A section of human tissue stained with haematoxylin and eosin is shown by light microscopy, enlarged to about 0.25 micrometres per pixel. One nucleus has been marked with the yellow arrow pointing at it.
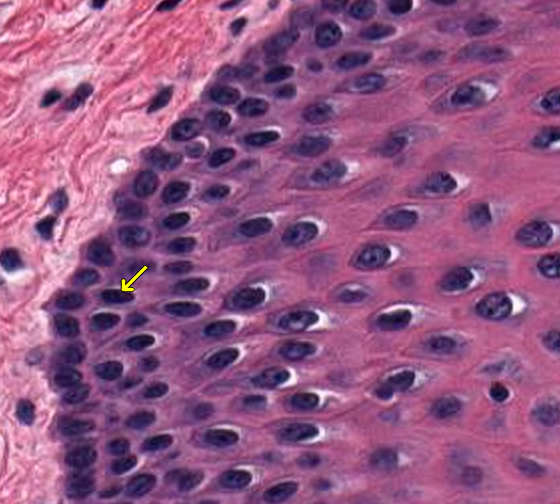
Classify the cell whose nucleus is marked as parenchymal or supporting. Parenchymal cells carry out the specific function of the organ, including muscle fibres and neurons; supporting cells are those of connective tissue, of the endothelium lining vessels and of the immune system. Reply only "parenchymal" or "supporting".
parenchymal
